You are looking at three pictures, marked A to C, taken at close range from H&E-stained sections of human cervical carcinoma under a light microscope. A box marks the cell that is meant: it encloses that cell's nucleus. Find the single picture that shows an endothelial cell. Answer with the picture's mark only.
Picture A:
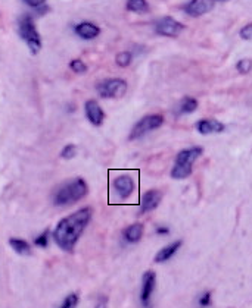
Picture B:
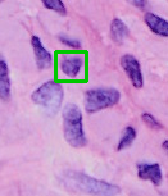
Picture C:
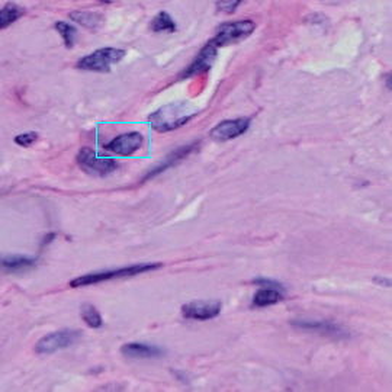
C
